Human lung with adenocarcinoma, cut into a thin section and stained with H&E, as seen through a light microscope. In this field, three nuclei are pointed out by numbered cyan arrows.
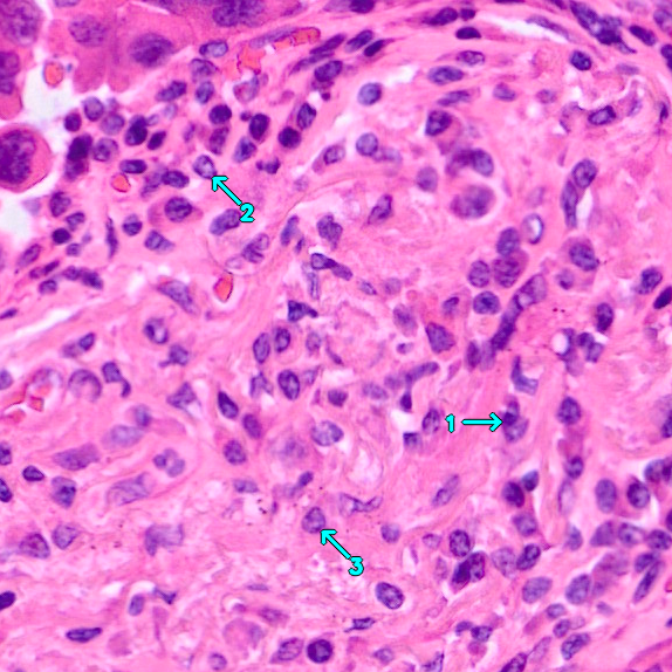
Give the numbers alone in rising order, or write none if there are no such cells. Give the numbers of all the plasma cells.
1, 3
